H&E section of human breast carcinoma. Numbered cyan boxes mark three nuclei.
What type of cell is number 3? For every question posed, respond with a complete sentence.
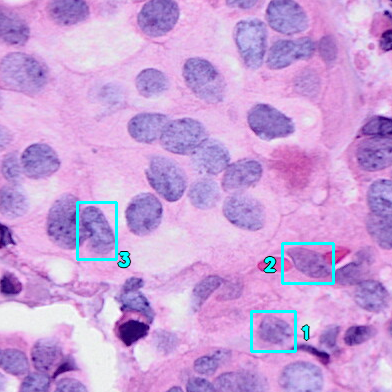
The cell to which the number 3 is assigned is a carcinoma cell.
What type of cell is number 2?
Looking at the numbered marks, cell 2 is an endothelial cell.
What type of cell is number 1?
In this section, number 1 marks a carcinoma cell.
